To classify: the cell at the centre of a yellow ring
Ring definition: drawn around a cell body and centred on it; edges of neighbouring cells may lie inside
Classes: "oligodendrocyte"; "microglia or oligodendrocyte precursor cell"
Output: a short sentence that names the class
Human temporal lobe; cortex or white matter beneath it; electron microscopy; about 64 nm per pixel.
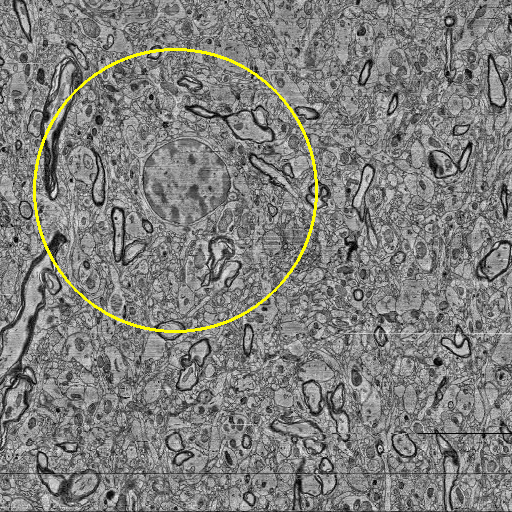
The ringed cell is a microglial cell or oligodendrocyte precursor cell.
